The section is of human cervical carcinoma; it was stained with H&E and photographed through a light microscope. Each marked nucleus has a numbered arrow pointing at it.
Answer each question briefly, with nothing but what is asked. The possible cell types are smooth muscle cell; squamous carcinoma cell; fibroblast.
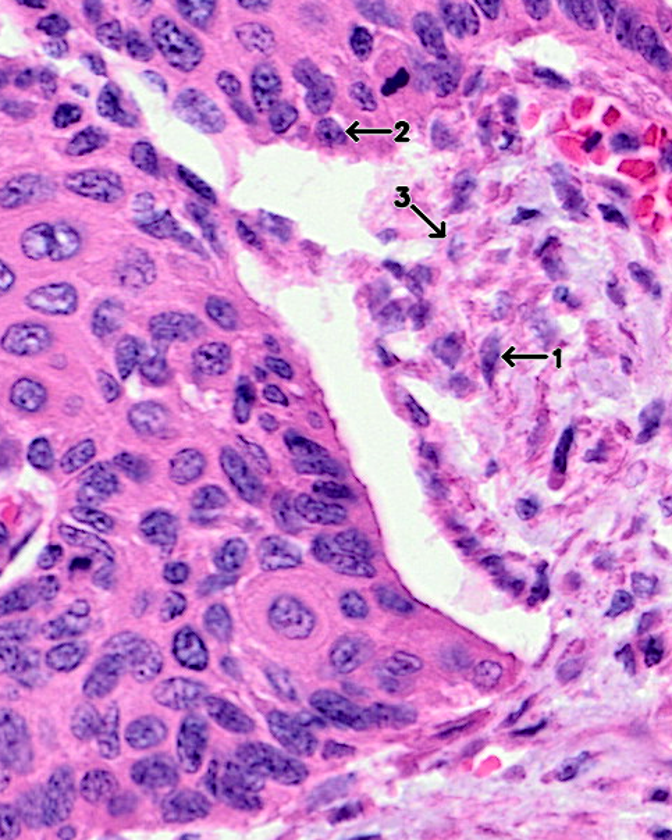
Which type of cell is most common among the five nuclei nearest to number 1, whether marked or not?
fibroblast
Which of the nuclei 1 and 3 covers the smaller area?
3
